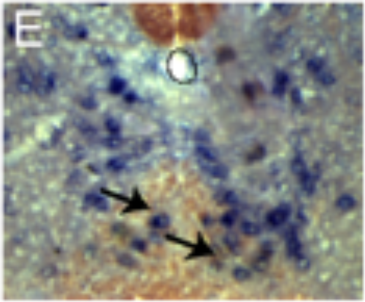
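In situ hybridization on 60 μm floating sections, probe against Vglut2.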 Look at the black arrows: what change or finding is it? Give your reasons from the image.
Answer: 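Neurons in the white matter. The arrows point to dark blue cell bodies. These lie inside the brownish ventral region rather than the blue-speckled grey matter.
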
